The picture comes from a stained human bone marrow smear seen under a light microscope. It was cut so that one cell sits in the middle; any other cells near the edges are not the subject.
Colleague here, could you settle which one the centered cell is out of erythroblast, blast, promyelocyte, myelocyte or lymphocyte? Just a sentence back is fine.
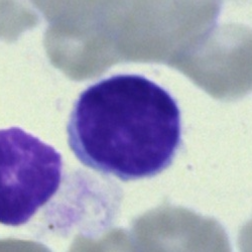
Framed in the middle of the crop is a lymphocyte.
